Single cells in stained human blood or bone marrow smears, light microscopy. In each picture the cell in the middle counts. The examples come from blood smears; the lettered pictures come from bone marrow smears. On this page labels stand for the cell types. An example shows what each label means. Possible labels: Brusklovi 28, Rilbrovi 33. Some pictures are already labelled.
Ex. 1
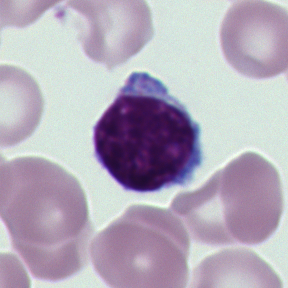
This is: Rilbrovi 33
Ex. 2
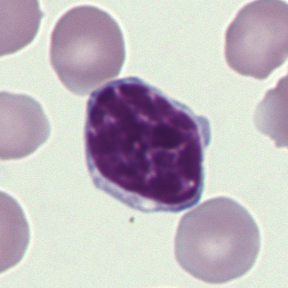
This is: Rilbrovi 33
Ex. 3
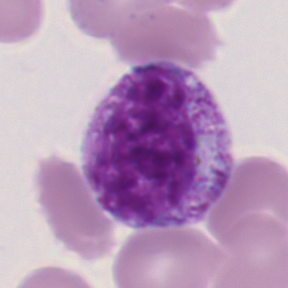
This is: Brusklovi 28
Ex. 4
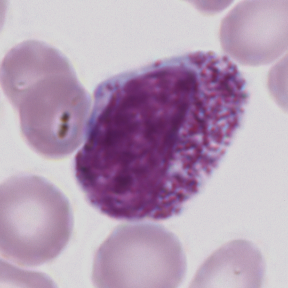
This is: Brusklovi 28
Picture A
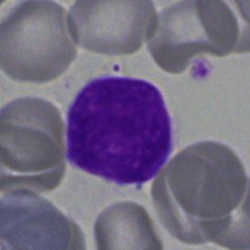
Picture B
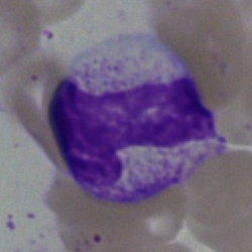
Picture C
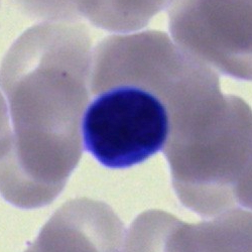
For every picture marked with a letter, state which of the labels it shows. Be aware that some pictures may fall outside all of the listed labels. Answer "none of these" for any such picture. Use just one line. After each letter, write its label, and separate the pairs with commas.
A Rilbrovi 33, B none of these, C Rilbrovi 33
